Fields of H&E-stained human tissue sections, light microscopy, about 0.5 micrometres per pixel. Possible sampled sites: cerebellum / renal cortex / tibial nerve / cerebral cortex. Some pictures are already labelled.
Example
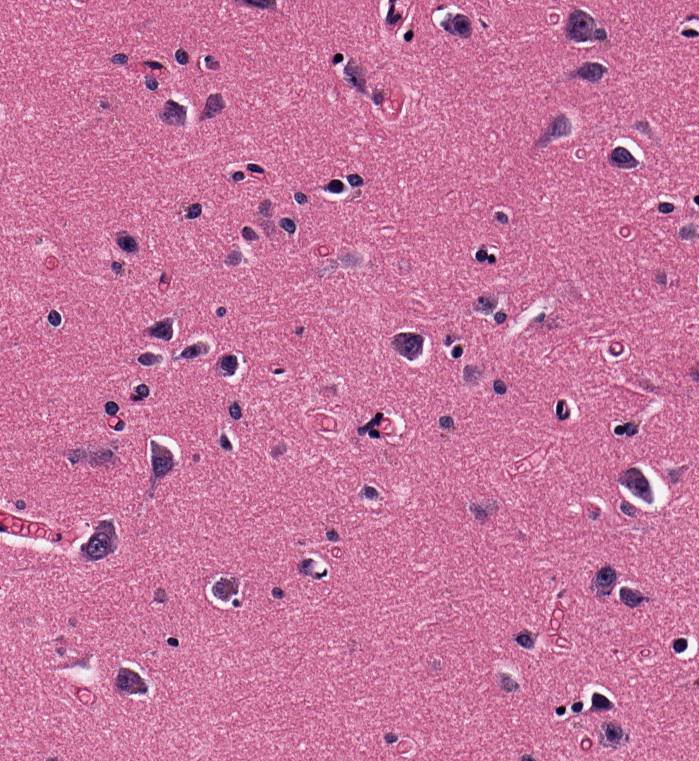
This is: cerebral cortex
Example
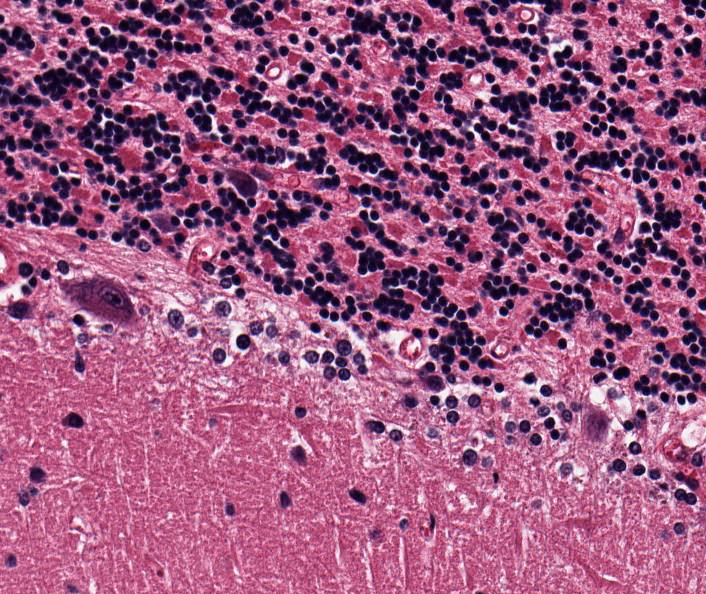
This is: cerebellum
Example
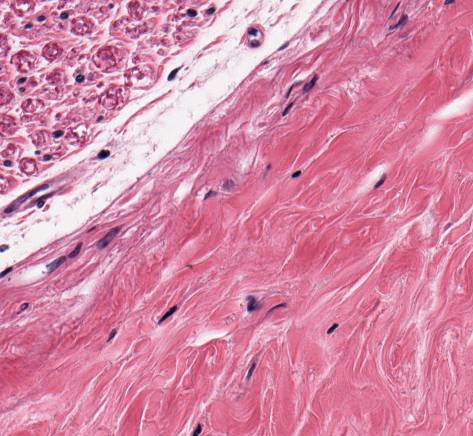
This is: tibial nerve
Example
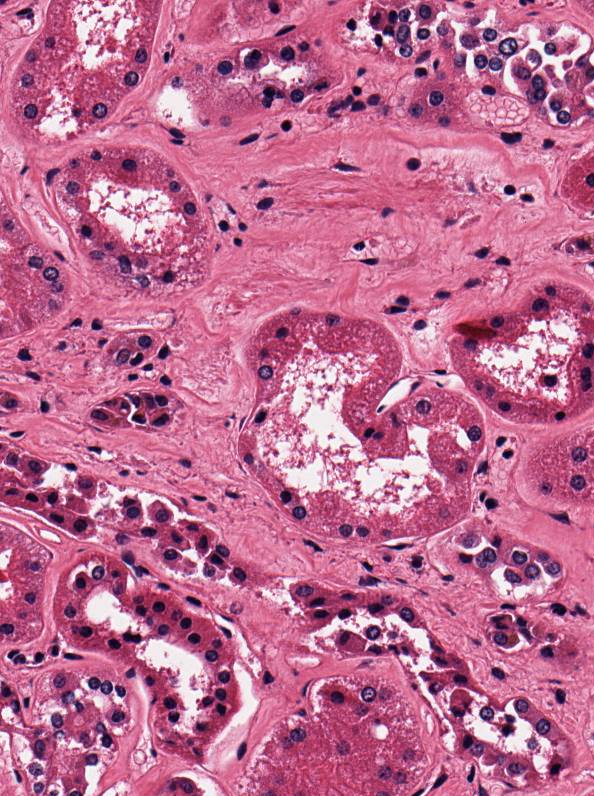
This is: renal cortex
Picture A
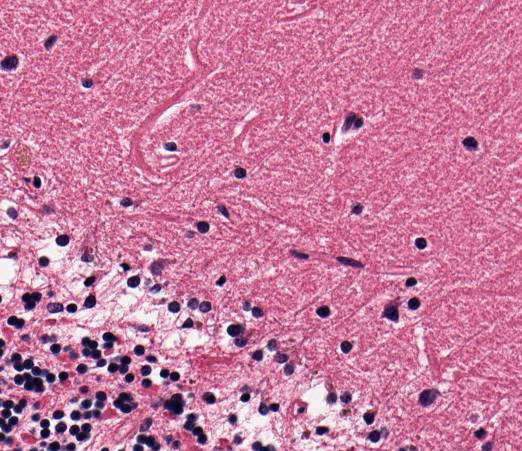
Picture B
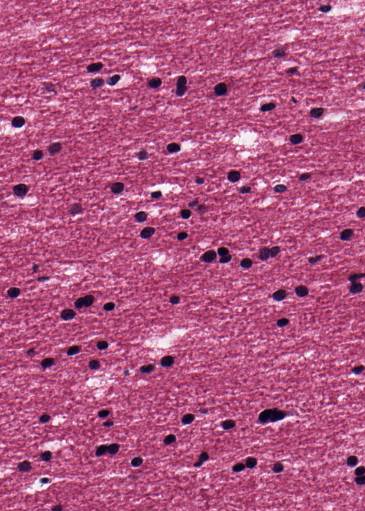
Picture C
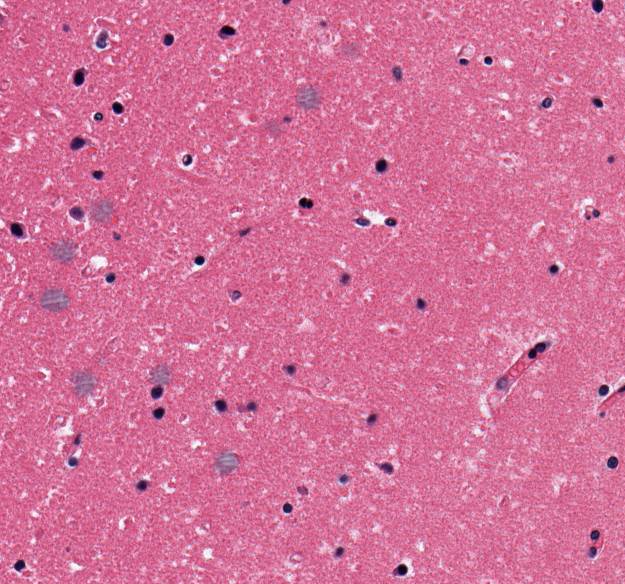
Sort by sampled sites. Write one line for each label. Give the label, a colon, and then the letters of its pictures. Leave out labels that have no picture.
cerebellum: A, C
cerebral cortex: B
